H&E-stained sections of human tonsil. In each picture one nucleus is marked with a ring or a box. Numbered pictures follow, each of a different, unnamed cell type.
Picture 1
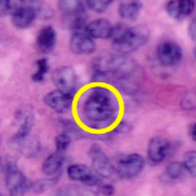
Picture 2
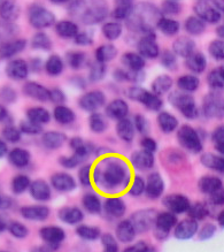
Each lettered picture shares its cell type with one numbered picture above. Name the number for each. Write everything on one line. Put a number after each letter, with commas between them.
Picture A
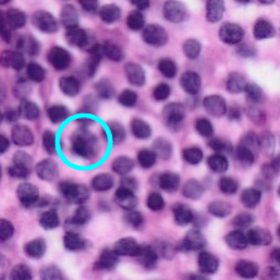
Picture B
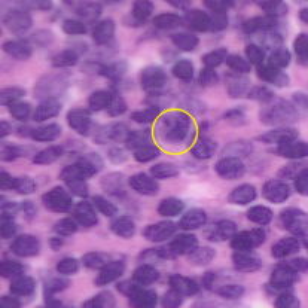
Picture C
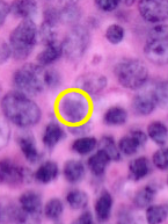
A 2, B 2, C 1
